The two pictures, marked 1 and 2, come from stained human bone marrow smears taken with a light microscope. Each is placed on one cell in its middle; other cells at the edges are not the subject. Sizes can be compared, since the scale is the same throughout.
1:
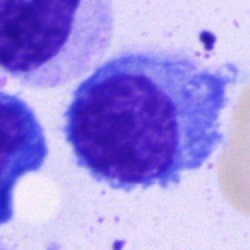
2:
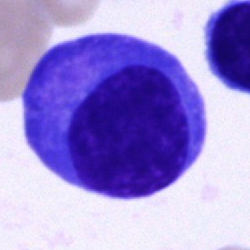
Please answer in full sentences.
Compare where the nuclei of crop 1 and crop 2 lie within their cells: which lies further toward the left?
In crop 1 the nucleus is shifted more toward the left.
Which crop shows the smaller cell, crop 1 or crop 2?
Smaller is the cell in crop 1, and the other is about 1.5 times as large in area.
